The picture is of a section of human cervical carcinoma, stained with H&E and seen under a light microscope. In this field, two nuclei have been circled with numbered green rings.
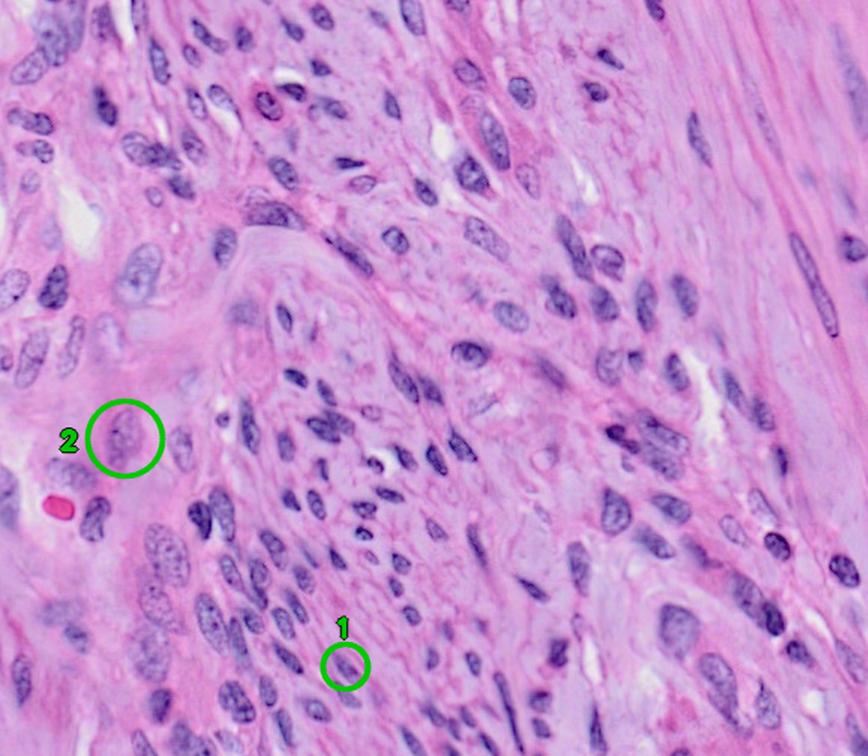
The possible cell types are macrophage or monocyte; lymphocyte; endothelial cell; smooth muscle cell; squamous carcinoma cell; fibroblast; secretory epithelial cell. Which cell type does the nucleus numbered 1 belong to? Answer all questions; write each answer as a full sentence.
Within this field of view, the cell labelled 1 is a smooth muscle cell.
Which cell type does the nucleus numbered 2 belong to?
Belonging to an endothelial cell is the nucleus that carries the number 2.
